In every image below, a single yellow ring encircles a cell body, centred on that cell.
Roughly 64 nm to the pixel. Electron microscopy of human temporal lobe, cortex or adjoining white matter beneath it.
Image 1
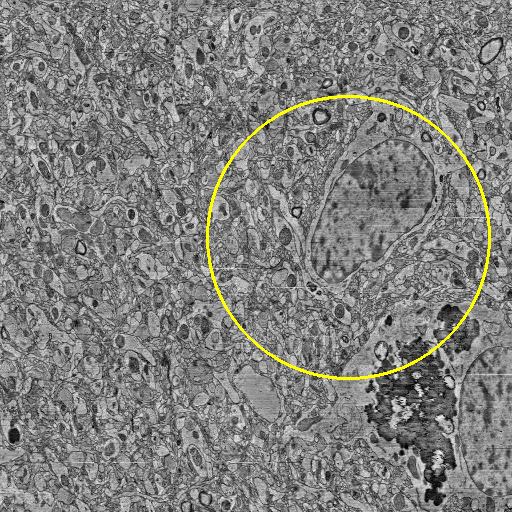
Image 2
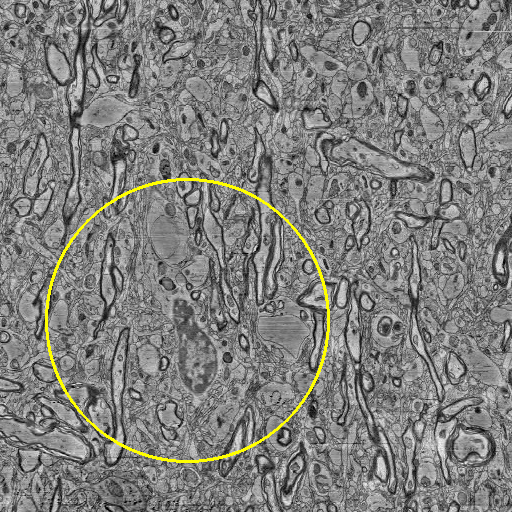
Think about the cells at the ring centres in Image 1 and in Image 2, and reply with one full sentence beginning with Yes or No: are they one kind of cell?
Yes, the cells centred in the rings of Image 1 and Image 2 are one kind of cell.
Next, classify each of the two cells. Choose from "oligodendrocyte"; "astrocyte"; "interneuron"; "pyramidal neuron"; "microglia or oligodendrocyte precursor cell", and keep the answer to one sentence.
Each of the two rings surrounds a microglial cell or oligodendrocyte precursor cell.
